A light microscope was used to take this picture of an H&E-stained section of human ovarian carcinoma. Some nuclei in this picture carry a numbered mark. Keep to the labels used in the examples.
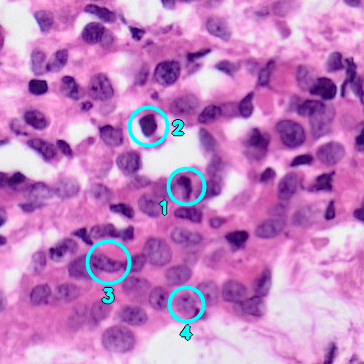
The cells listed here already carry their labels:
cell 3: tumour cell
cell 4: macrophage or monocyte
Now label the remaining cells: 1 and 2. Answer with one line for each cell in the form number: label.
1: tumour cell
2: tumour cell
